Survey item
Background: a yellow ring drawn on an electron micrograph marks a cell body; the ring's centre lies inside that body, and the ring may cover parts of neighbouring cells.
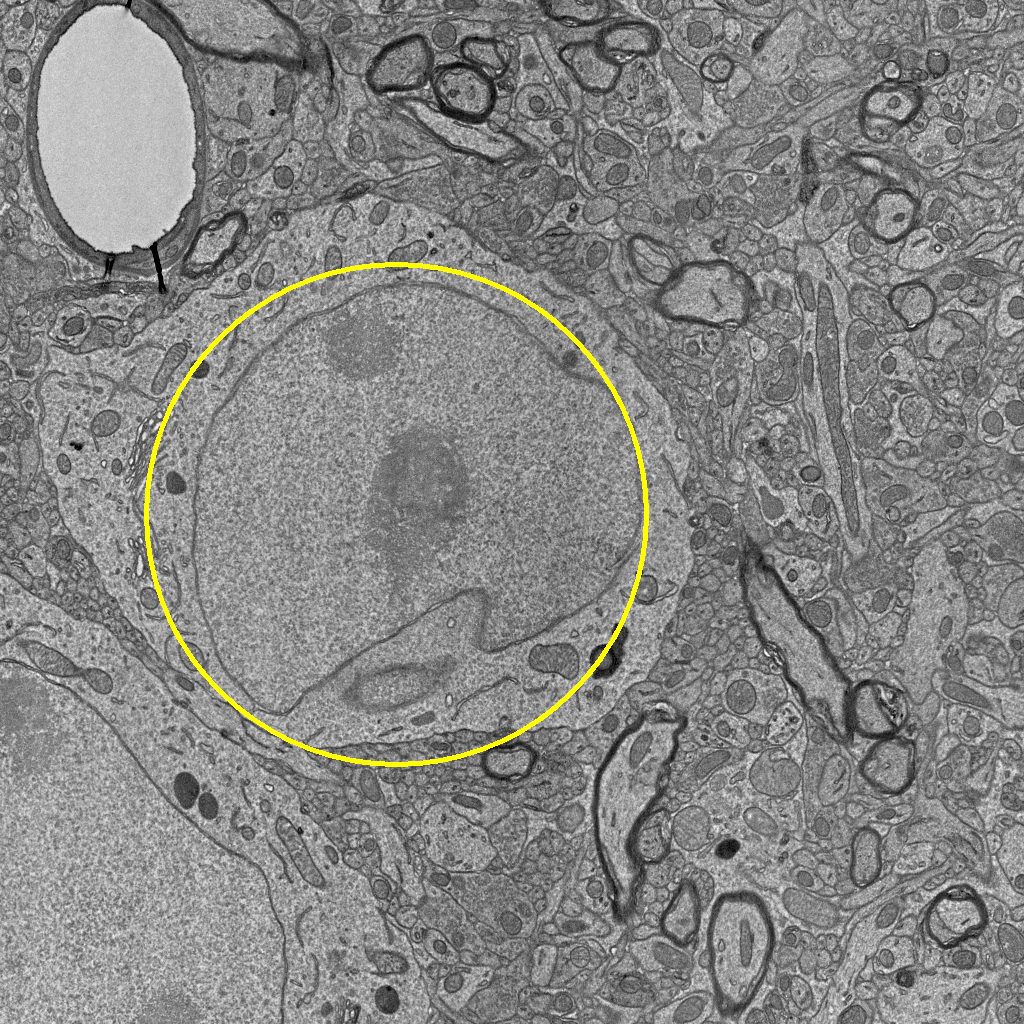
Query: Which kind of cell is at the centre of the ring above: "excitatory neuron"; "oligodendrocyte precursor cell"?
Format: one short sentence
The cell in the middle of the ring is an excitatory neuron.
